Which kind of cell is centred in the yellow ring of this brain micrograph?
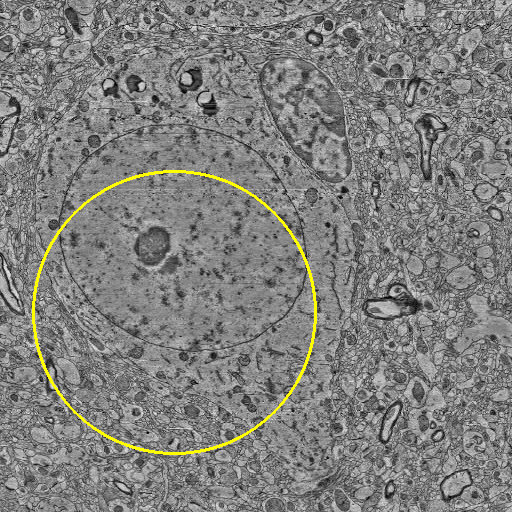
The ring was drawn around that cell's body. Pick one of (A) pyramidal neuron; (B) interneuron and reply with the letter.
A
